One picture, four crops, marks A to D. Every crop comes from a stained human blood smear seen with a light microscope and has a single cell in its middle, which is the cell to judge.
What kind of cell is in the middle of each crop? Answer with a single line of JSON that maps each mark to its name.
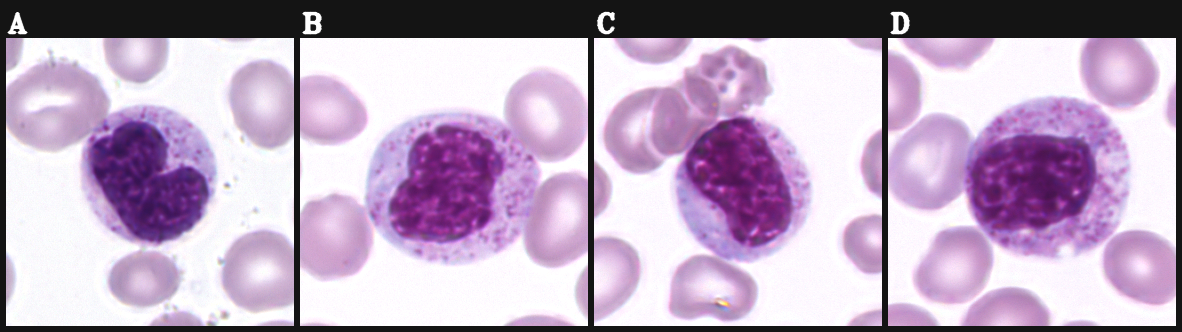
{"A": "band neutrophil", "B": "metamyelocyte", "C": "metamyelocyte", "D": "metamyelocyte"}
